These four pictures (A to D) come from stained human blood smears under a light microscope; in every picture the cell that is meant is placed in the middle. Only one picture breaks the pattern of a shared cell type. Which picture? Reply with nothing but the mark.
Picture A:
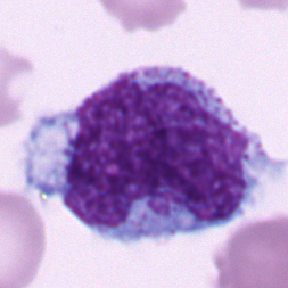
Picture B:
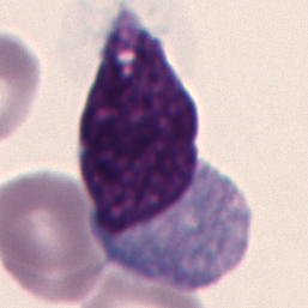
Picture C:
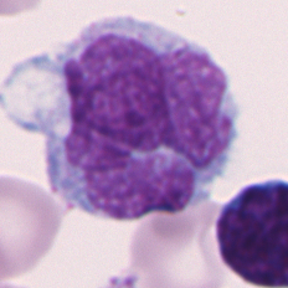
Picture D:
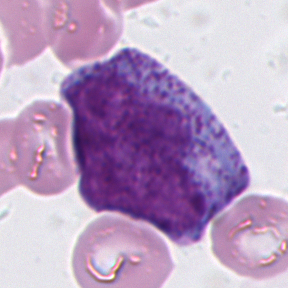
D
